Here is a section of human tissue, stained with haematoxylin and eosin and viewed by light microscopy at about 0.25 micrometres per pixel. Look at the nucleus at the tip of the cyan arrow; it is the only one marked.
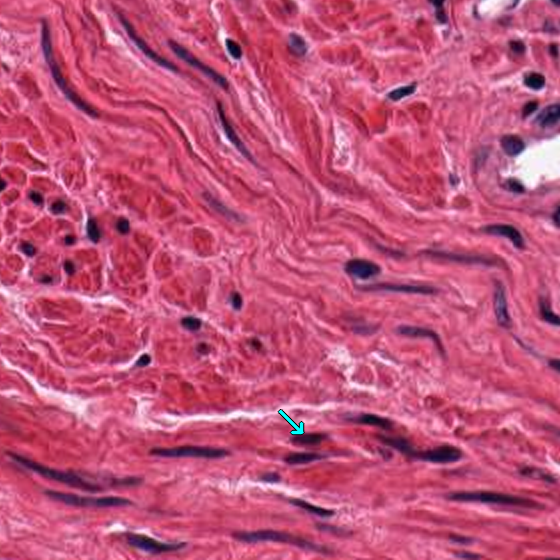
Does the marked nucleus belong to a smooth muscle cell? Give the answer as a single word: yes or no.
yes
